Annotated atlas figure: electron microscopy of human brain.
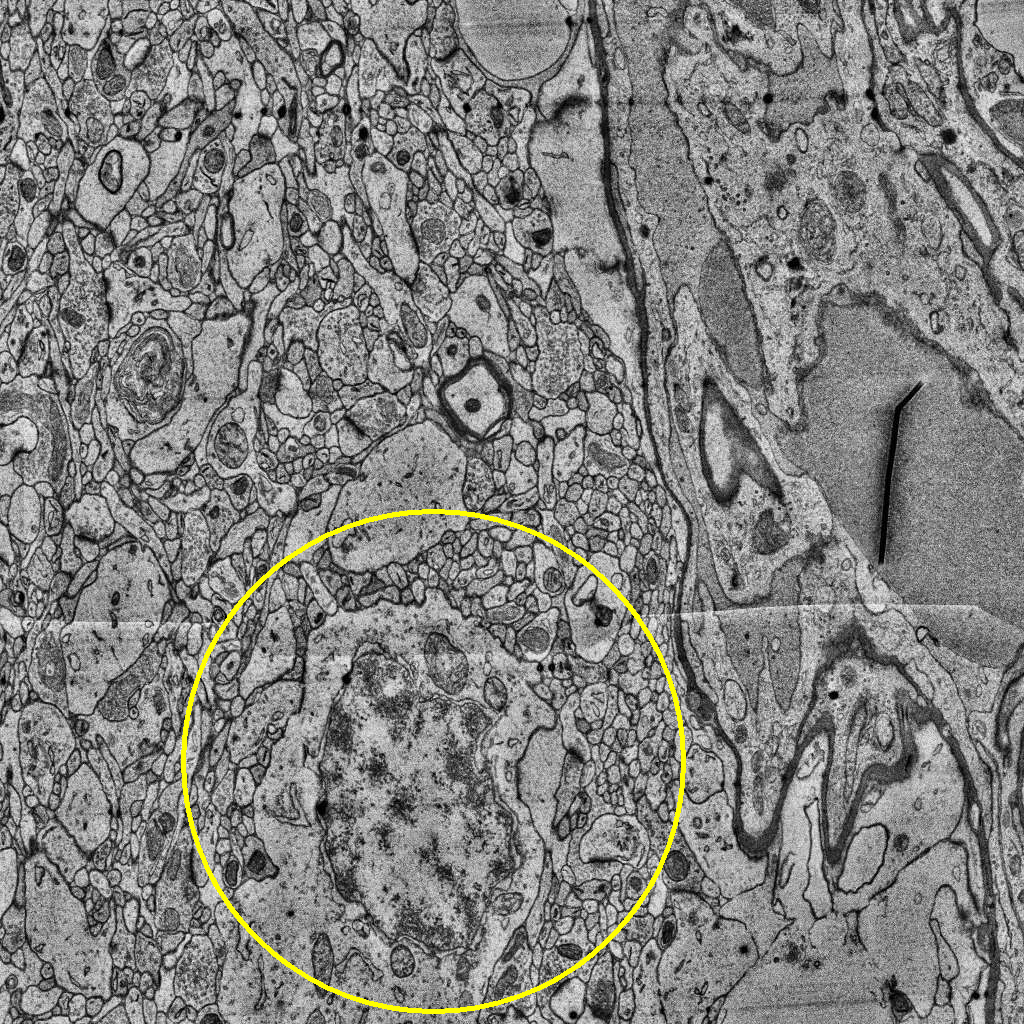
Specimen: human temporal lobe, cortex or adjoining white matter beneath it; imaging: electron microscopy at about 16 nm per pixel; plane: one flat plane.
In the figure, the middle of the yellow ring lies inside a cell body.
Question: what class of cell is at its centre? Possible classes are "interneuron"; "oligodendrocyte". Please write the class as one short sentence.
The yellow ring's centre lies in an interneuron.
